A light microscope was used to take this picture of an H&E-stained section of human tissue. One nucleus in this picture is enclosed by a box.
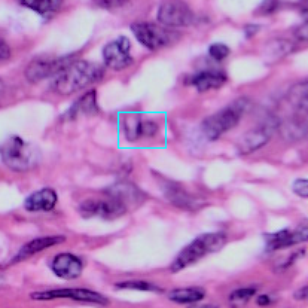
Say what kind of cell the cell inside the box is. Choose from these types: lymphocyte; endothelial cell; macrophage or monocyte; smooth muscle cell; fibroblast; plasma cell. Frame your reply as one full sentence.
The cell type of the cell inside the box is that of a macrophage or monocyte.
